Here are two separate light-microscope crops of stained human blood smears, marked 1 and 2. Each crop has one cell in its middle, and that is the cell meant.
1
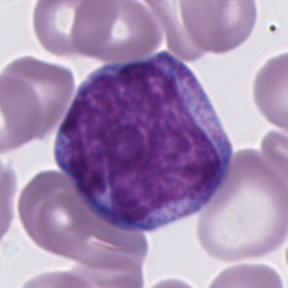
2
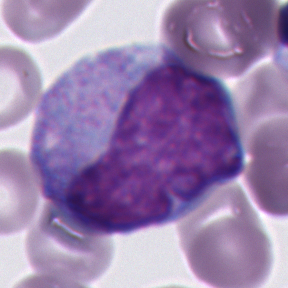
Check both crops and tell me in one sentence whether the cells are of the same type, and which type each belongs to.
Yes, both crops show promyelocytes, each crop centred on one of them.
